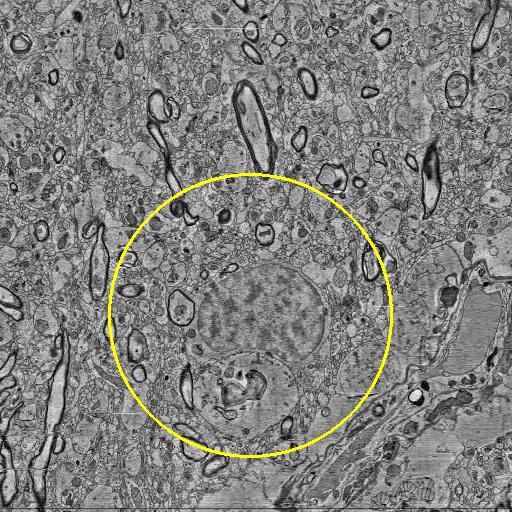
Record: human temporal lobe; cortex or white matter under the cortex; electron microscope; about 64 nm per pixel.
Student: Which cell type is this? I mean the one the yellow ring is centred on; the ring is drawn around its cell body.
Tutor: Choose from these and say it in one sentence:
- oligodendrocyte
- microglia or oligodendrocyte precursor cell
The cell the ring is centred on is an oligodendrocyte.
